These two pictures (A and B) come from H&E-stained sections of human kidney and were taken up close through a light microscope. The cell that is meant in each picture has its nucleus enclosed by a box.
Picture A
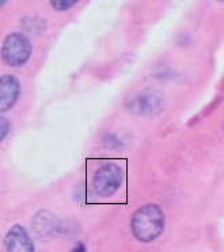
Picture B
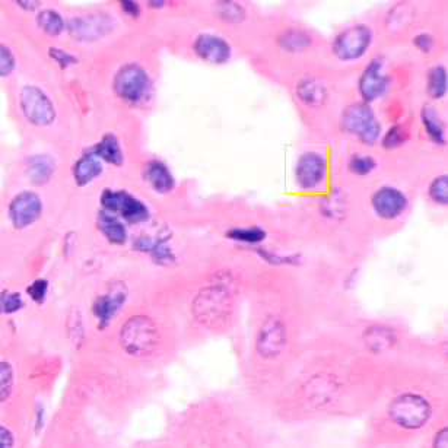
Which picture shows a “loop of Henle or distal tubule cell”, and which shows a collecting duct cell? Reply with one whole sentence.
Picture B shows a “loop of Henle or distal tubule cell”, while picture A shows a collecting duct cell.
